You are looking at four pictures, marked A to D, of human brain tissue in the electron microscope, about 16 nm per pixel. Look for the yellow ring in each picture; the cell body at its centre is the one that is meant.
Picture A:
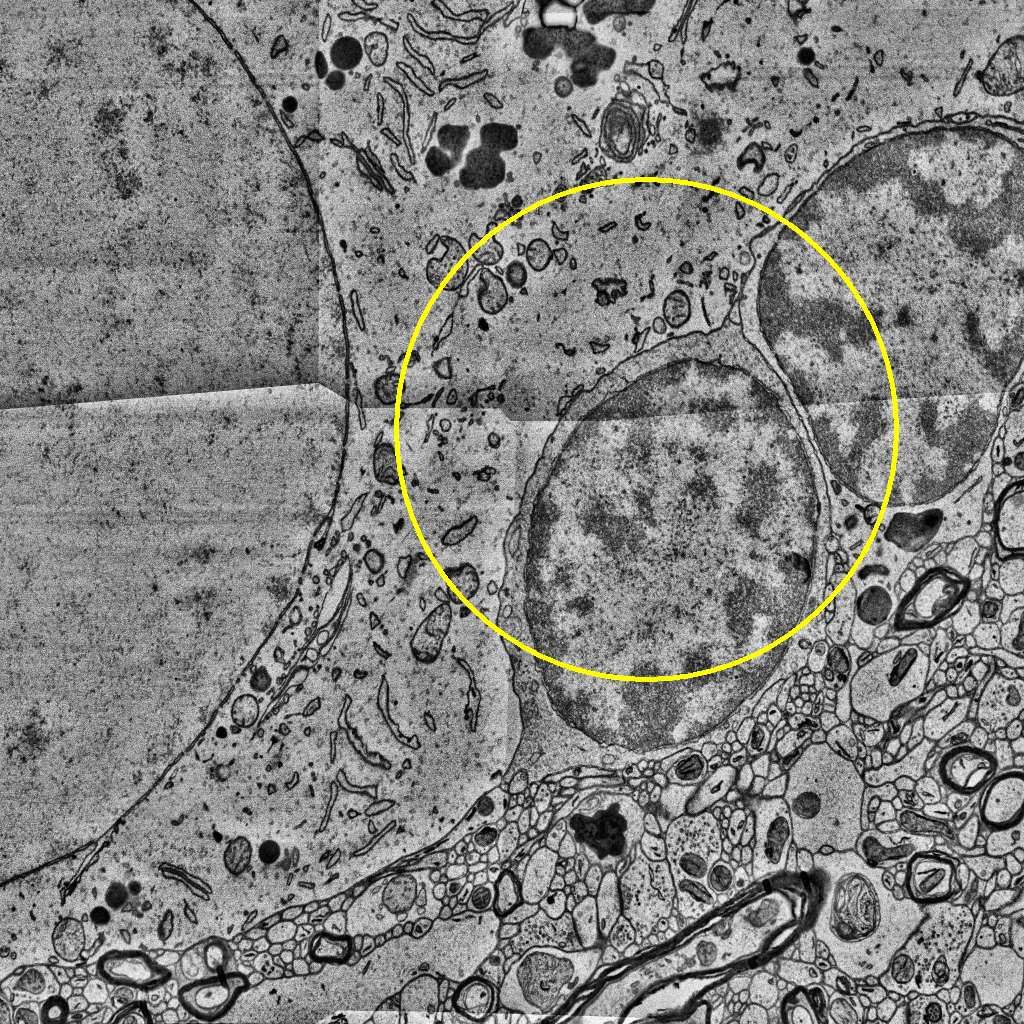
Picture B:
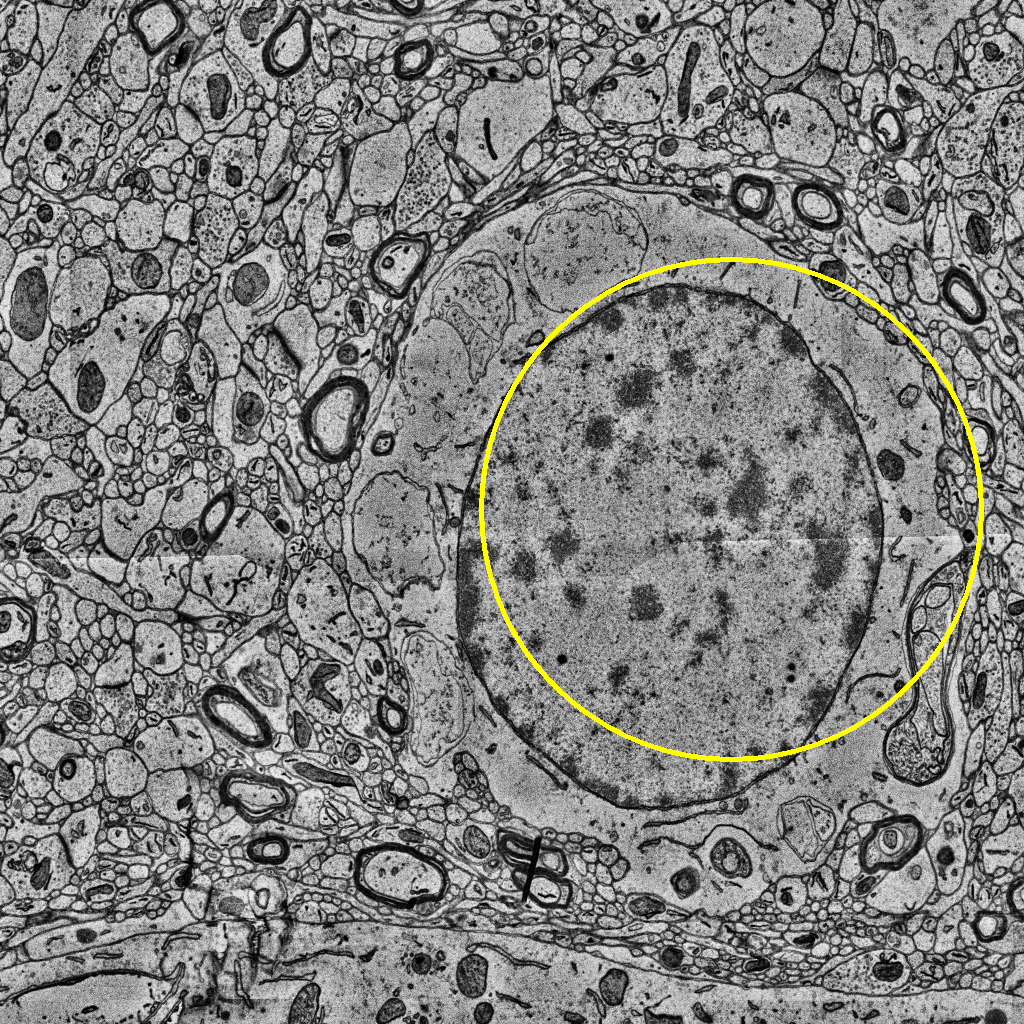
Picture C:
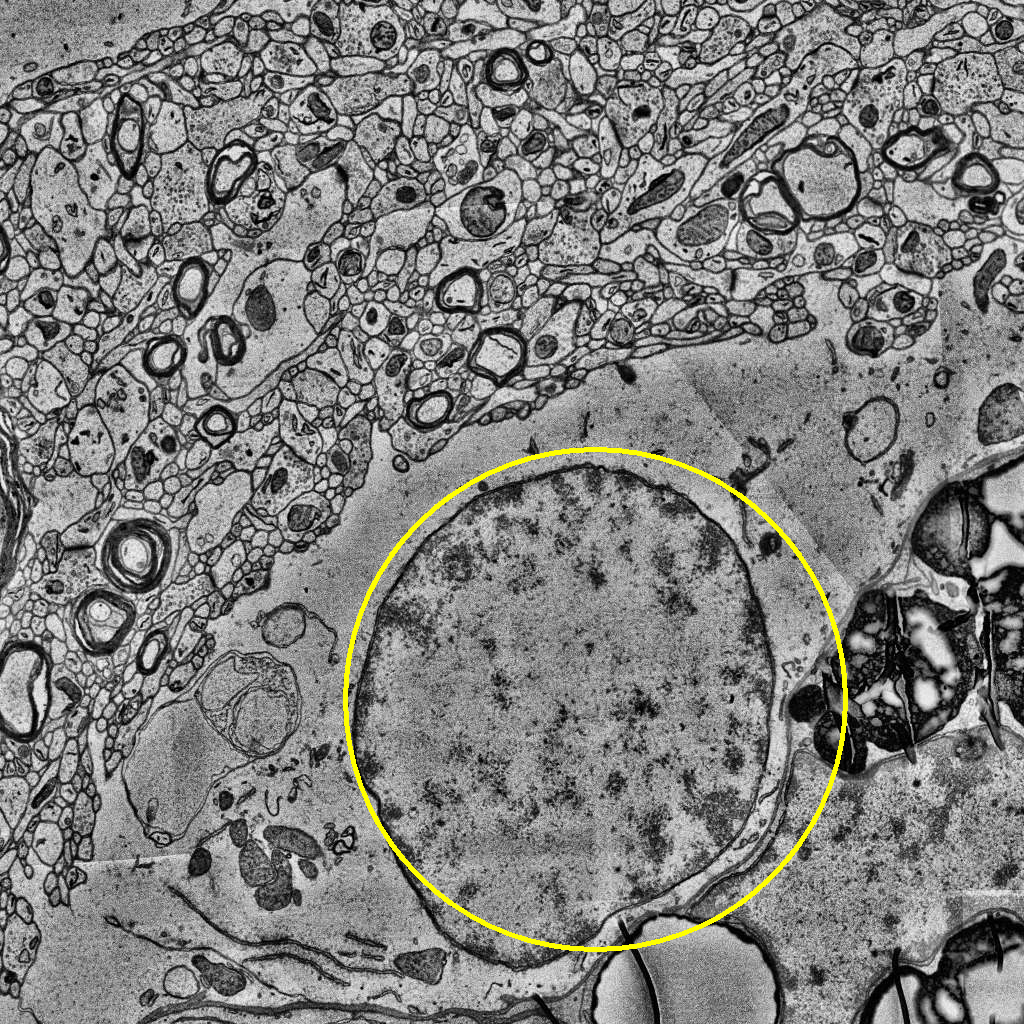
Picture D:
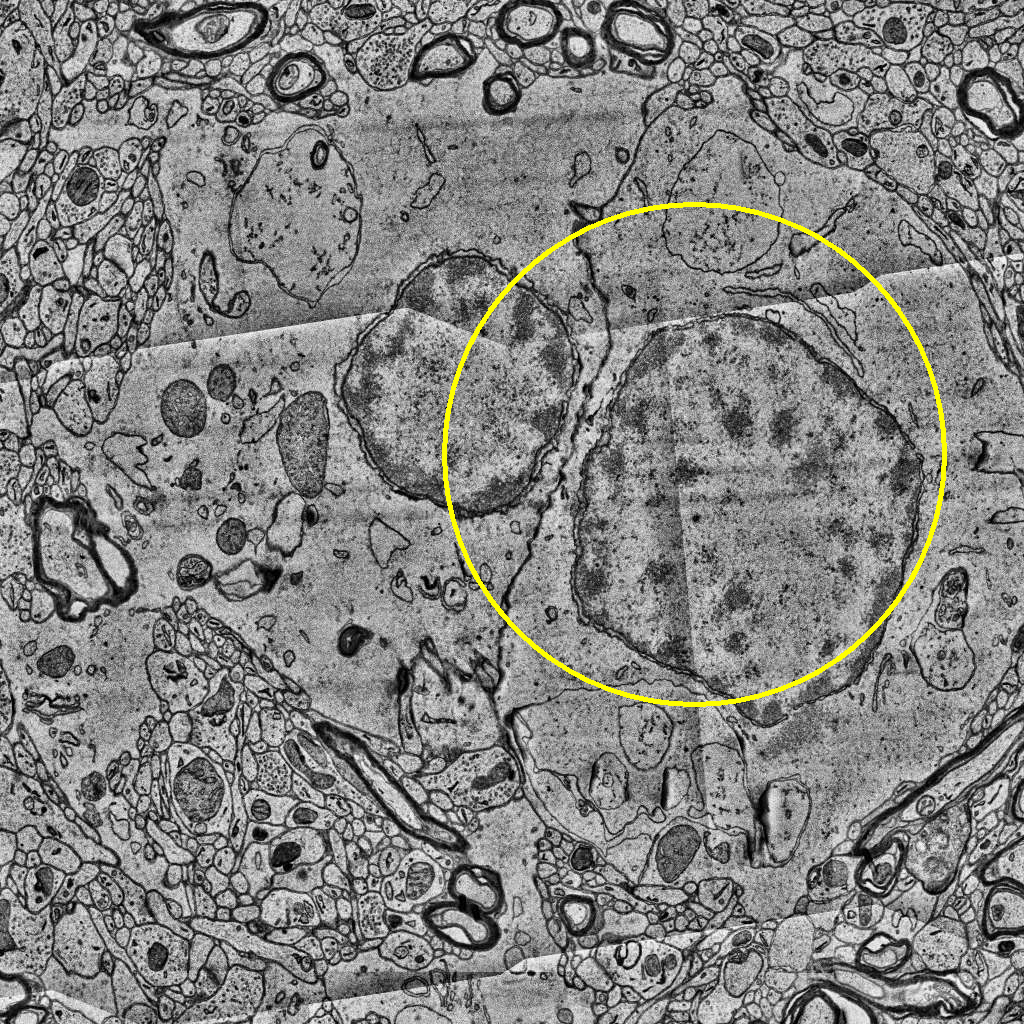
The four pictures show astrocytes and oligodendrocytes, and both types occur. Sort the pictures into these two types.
Pictures B, C and D show astrocytes; picture A shows an oligodendrocyte.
